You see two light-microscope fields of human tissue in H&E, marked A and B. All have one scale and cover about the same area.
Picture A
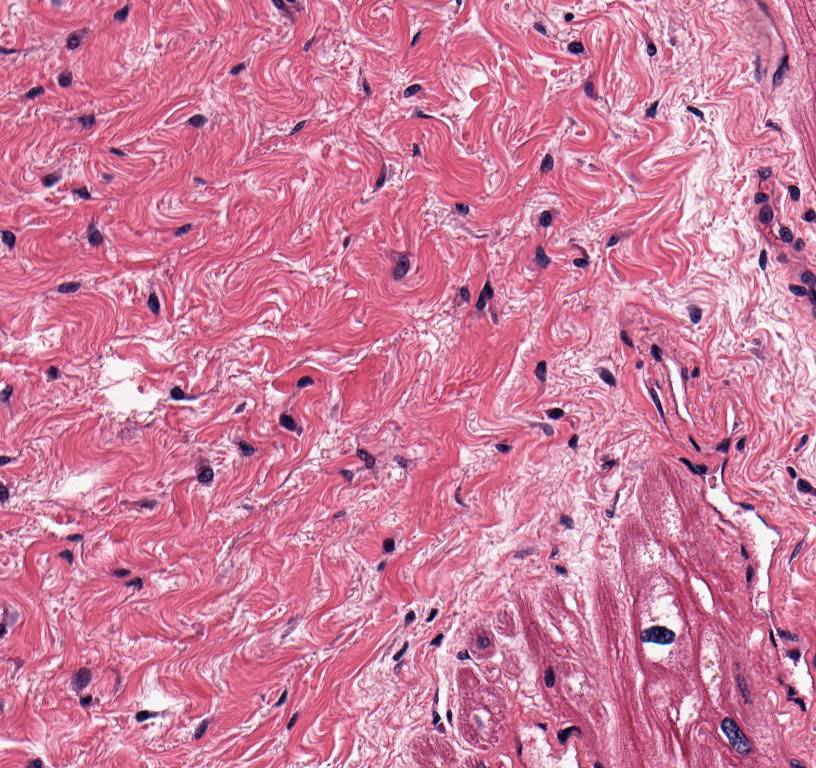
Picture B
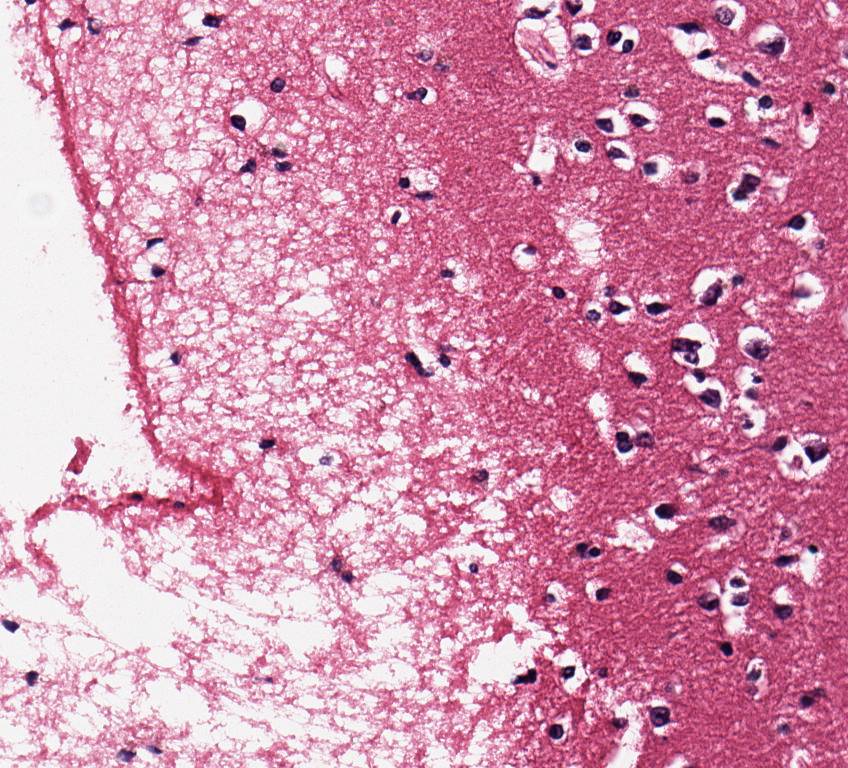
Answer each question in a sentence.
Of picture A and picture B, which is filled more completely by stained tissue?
Unstained space takes up less of picture A than of picture B.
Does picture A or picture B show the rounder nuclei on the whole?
The nuclei are rounder in picture B.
